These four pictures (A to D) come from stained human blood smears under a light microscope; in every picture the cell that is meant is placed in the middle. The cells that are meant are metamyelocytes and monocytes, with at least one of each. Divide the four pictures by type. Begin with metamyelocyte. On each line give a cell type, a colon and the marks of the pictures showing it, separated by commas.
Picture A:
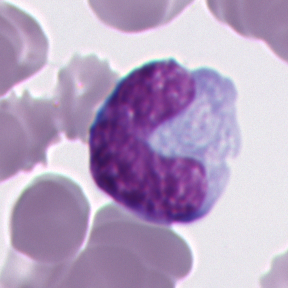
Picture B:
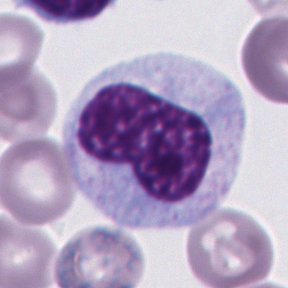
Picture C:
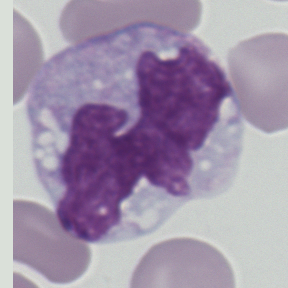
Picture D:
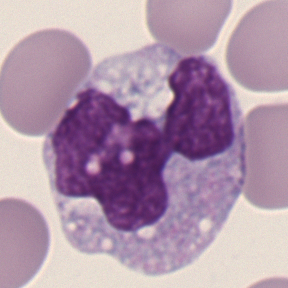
metamyelocyte: B
monocyte: A, C, D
